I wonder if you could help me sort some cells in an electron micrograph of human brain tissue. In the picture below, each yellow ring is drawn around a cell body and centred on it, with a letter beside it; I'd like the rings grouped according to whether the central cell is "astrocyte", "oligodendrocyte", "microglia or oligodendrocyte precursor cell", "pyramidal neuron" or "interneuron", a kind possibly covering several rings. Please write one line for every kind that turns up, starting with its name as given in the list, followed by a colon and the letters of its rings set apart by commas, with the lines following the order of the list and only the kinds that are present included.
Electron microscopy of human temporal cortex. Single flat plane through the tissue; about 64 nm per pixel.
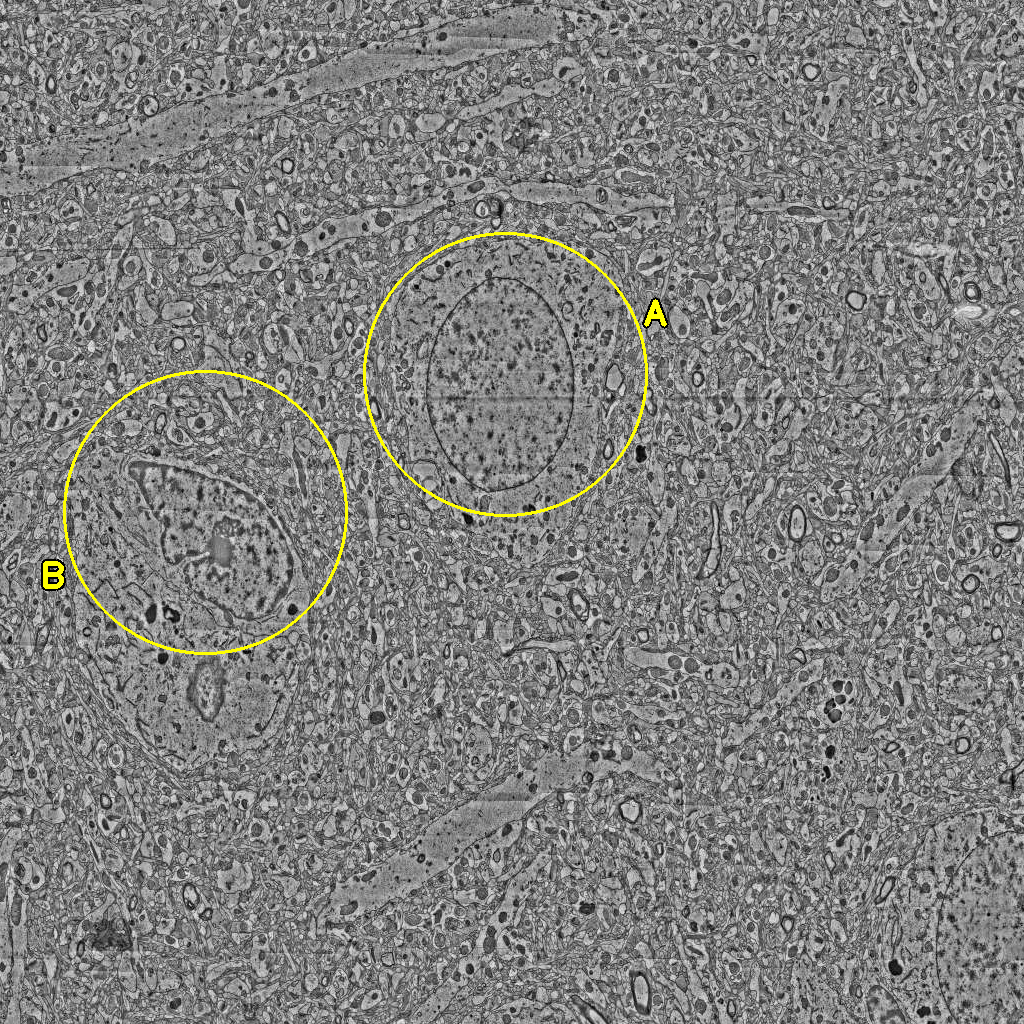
microglia or oligodendrocyte precursor cell: B
pyramidal neuron: A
